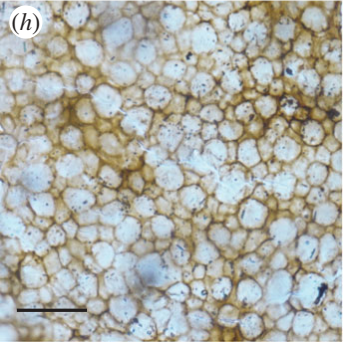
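A flat sheet fills the view. Thin brown walls separate the compartments, and the centres are pale with scattered fine dark specks. The brown colour is denser in some patches than in others.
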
